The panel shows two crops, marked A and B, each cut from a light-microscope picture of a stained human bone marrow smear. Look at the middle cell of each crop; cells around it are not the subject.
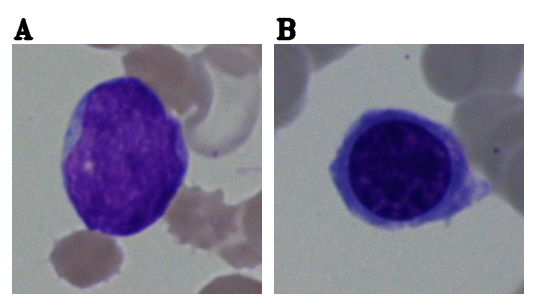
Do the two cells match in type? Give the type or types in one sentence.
No, crop A has a blast at its center, and crop B has an erythroblast.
